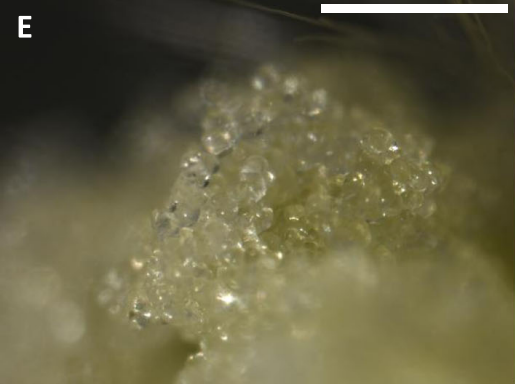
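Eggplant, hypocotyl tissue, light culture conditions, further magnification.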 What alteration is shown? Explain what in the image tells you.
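Many rounded, glassy, translucent cells are heaped irregularly. No layers, organs or orderly arrangement can be seen.
Hence: disorganized cell structure.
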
